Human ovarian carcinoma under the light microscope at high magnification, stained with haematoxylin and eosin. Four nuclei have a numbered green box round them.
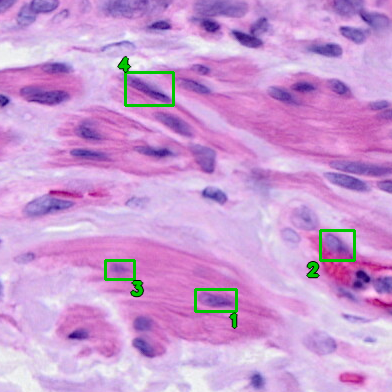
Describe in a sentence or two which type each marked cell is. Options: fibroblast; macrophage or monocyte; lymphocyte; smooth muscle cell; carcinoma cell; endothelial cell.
Cells 1, 3 and 4 are smooth muscle cells. Cell 2 is an endothelial cell.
